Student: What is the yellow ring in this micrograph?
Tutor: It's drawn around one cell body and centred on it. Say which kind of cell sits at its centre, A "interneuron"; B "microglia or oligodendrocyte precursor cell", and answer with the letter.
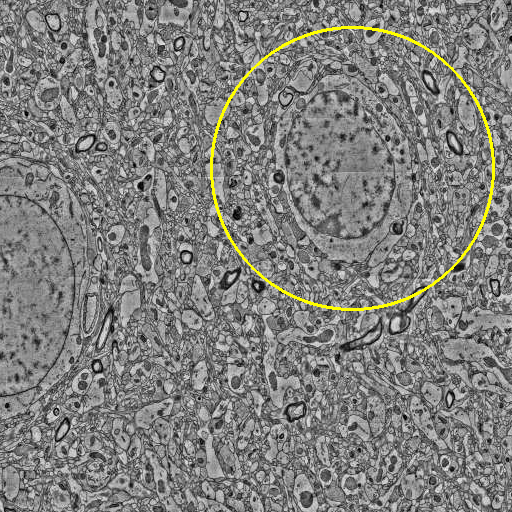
A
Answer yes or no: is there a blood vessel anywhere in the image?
No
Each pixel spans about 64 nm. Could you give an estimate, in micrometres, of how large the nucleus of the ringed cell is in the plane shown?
Approximately 10 micrometres long and 7 micrometres wide, in this plane.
